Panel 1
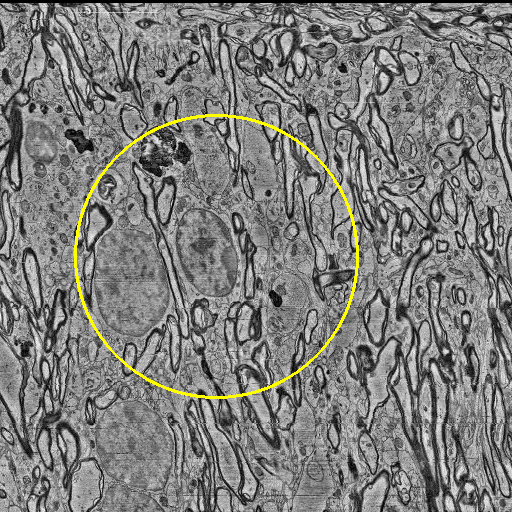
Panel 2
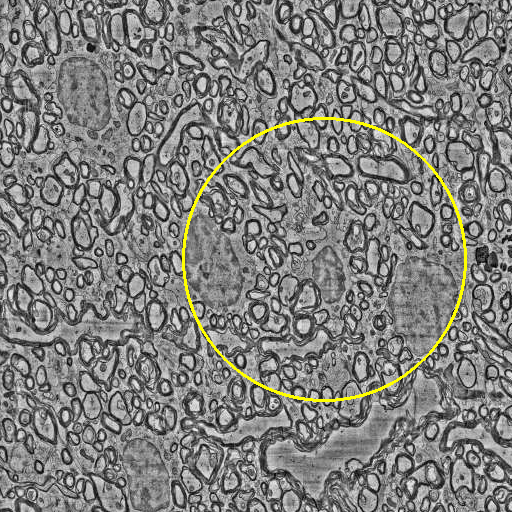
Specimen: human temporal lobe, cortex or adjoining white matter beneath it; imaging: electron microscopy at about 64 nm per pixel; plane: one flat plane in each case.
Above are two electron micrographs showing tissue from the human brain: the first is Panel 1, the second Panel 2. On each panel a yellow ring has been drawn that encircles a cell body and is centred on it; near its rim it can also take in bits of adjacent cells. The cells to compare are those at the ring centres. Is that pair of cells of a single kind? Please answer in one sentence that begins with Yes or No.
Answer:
No, the ring-centred cells of Panel 1 and Panel 2 belong to two kinds.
